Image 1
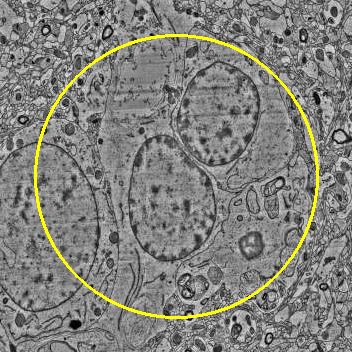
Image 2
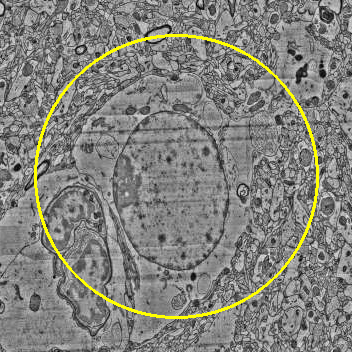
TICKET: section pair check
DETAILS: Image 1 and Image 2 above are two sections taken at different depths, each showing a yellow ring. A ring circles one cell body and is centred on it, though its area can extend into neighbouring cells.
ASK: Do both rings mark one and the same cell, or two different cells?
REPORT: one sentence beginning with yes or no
No, one ring and the other ring mark two distinct cells.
